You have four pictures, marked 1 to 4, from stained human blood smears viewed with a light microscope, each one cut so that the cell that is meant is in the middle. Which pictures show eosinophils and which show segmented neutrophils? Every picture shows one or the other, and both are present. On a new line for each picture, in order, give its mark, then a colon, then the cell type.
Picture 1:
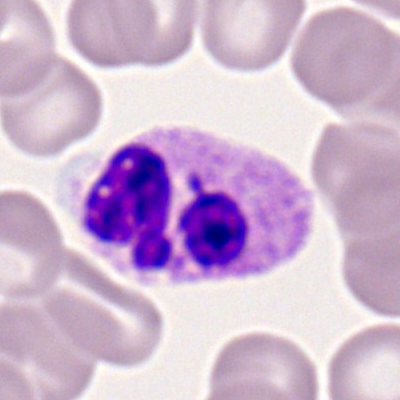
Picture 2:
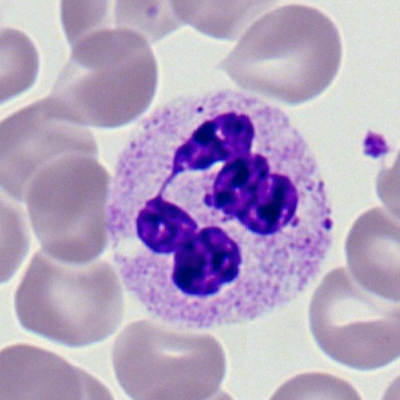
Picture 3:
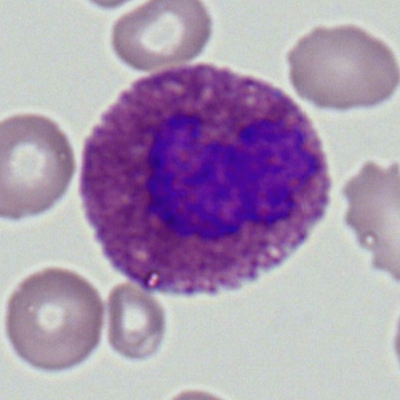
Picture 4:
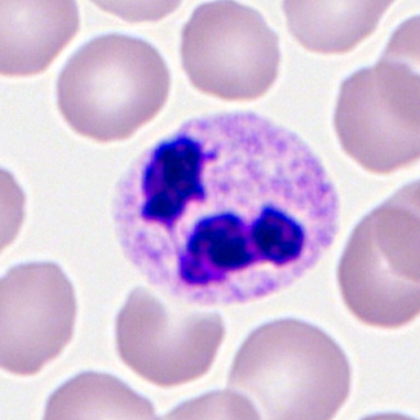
1: segmented neutrophil
2: segmented neutrophil
3: eosinophil
4: segmented neutrophil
